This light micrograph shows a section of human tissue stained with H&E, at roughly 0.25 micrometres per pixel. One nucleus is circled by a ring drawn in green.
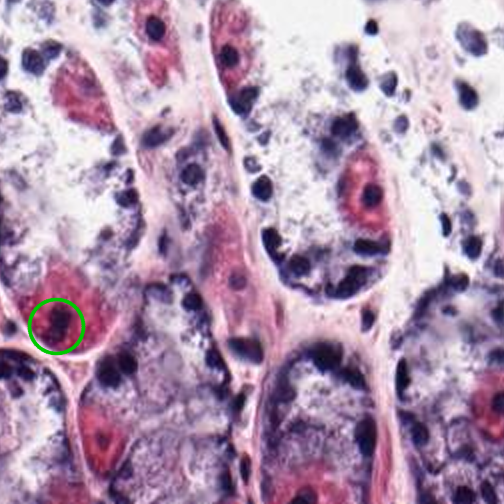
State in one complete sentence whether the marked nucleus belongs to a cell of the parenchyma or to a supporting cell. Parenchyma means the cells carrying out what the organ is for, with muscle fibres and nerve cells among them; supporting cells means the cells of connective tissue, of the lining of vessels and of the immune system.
The marked nucleus is enclosed by a parenchymal cell, namely a parietal cell.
